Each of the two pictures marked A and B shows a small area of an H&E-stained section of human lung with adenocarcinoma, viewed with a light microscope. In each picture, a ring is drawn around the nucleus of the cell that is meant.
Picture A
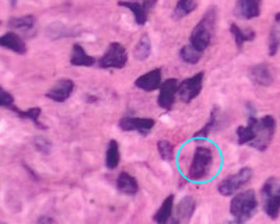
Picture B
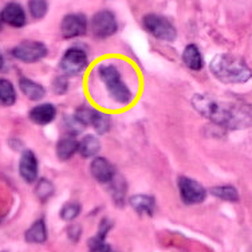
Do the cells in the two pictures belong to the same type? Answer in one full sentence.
No, picture A shows a plasma cell and picture B shows a lymphocyte.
